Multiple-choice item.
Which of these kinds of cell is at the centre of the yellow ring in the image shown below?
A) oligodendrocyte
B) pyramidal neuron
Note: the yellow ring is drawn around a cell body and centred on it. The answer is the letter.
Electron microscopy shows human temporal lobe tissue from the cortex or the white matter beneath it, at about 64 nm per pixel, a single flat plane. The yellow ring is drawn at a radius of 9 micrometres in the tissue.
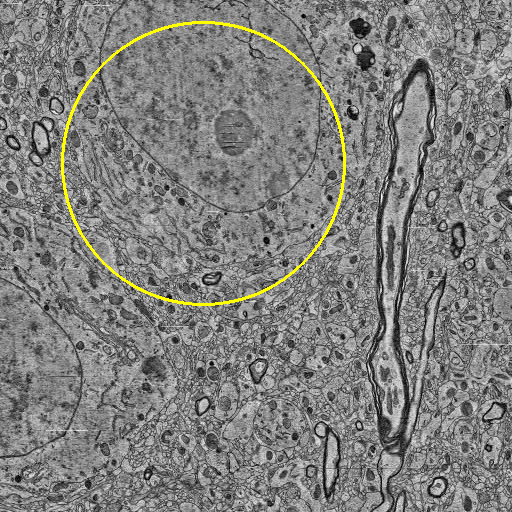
B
